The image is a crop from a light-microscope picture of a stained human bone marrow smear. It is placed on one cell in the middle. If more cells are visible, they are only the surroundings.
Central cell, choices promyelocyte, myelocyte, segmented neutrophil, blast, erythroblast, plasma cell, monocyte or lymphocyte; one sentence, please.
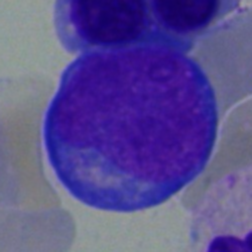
The central cell, amid any neighbouring cells, is a blast.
